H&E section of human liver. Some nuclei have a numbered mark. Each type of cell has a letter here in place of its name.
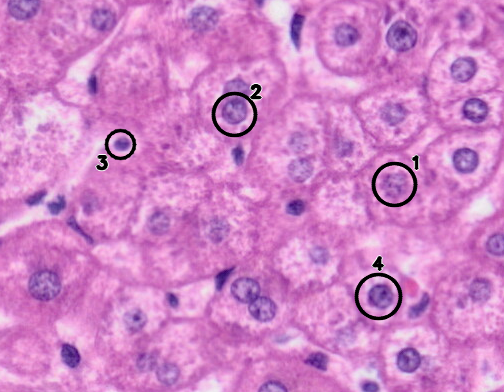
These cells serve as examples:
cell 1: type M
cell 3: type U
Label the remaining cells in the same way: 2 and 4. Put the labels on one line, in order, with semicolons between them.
type M; type M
